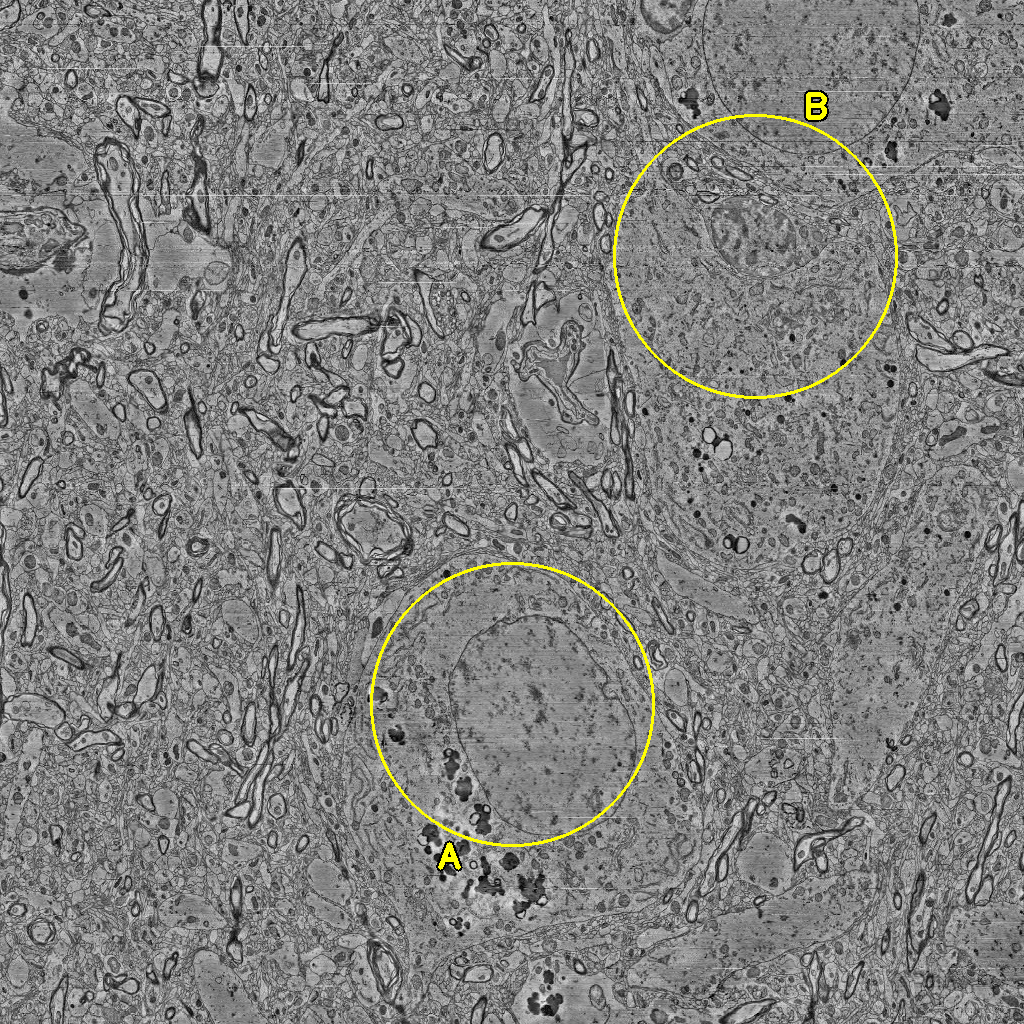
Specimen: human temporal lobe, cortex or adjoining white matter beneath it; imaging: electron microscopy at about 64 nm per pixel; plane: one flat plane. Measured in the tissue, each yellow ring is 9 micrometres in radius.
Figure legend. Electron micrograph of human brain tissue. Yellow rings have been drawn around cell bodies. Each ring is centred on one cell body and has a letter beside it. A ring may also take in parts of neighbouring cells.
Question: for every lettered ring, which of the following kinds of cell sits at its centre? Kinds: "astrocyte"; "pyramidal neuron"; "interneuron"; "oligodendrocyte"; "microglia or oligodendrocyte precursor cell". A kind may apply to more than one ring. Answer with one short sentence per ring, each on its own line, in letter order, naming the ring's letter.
Ring A is centred on a pyramidal neuron.
Ring B is centred on an oligodendrocyte.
